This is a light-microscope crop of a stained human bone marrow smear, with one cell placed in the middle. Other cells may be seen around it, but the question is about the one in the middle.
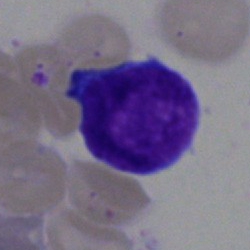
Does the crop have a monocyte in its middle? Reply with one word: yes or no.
no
